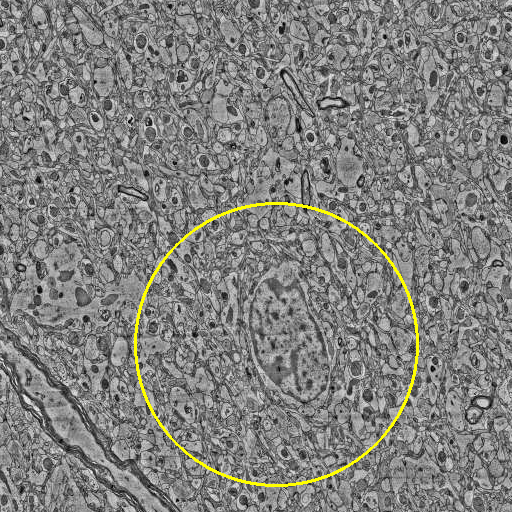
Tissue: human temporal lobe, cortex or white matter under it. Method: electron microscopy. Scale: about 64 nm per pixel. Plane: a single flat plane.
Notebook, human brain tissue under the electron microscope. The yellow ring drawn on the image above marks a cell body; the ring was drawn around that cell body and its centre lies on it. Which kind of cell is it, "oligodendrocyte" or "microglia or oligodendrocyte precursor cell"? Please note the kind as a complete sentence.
The marked cell body is that of a microglial cell or oligodendrocyte precursor cell.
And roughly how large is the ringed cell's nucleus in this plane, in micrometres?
In this plane, about 8 micrometres in length and 4 in width.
